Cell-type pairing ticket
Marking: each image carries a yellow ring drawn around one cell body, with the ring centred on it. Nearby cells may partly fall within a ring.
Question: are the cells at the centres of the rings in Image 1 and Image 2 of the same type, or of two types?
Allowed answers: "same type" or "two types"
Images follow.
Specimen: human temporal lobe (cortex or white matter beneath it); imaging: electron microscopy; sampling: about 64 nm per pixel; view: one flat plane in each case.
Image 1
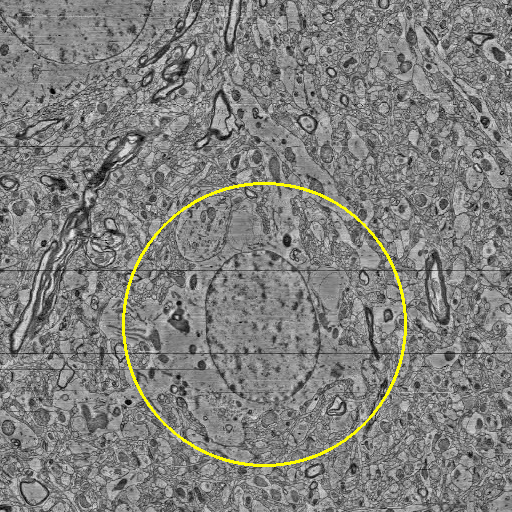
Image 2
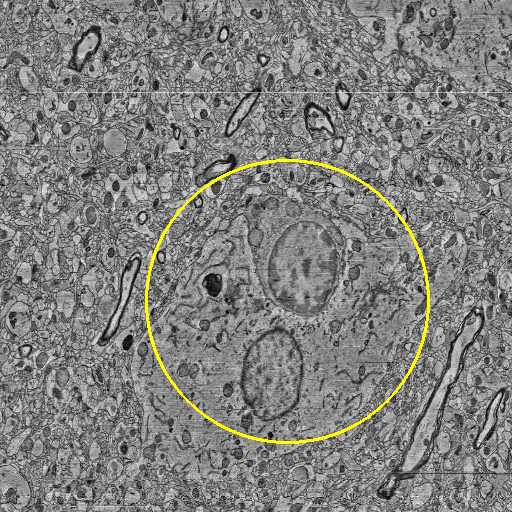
two types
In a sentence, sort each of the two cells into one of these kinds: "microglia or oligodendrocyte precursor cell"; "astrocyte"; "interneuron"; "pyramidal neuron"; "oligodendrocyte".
The first of the two cells is an astrocyte, and the second is an oligodendrocyte.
